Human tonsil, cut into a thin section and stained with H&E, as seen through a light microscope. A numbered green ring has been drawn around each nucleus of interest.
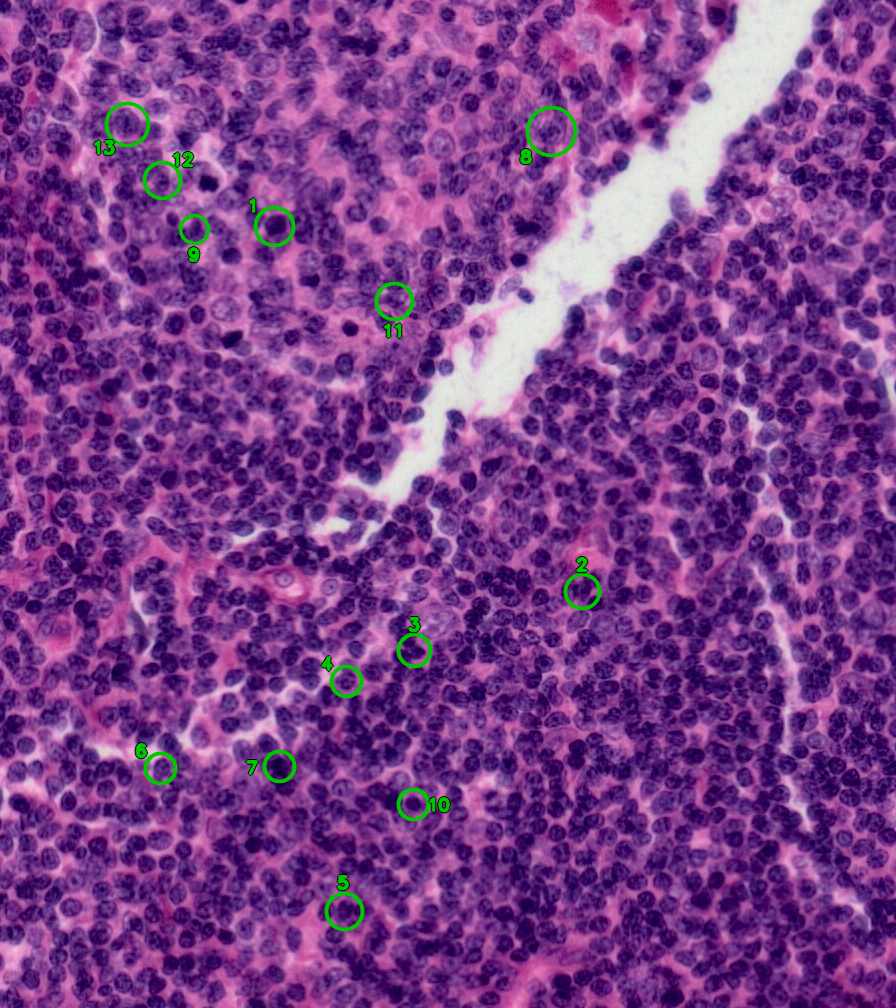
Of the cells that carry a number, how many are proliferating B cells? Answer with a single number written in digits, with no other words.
6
